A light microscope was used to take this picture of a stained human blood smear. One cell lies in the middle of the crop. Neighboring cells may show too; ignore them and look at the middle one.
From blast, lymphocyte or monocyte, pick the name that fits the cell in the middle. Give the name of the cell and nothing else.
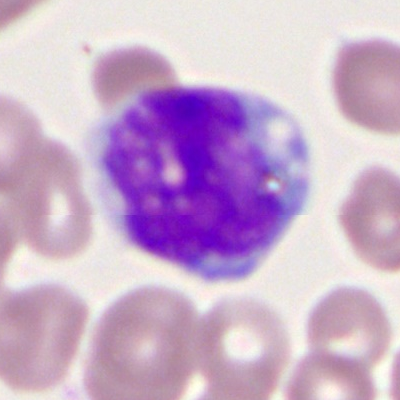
monocyte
